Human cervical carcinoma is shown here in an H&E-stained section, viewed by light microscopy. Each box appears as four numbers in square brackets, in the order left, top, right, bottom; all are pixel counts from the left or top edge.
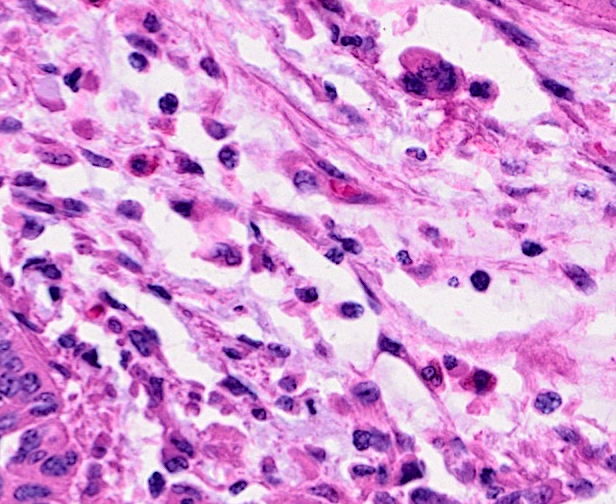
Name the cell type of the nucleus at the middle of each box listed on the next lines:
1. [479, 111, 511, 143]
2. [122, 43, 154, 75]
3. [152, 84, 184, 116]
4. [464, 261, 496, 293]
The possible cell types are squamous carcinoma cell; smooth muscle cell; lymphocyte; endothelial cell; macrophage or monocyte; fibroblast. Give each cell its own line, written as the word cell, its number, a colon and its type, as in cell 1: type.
cell 1: fibroblast
cell 2: lymphocyte
cell 3: lymphocyte
cell 4: lymphocyte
